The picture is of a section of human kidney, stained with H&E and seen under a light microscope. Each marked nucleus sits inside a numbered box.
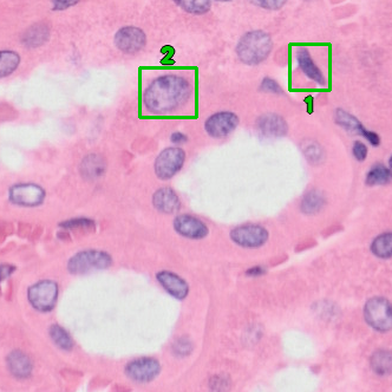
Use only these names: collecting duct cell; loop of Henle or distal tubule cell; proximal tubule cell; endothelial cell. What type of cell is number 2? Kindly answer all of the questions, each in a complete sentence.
The cell whose nucleus carries the number 2 is a proximal tubule cell.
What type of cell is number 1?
The cell that bears the number 1 is an endothelial cell.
